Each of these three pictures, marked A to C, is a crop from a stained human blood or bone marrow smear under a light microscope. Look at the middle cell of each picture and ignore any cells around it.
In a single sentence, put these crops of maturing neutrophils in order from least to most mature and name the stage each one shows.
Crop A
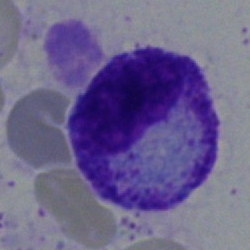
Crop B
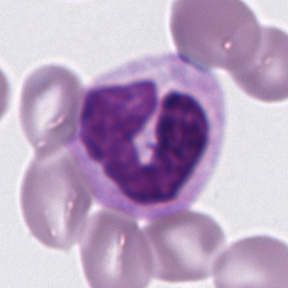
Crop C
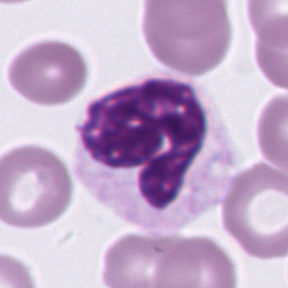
Along the maturation line, from least to most mature, sit crop A (a myelocyte), crop B (a band neutrophil) and crop C (a segmented neutrophil).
